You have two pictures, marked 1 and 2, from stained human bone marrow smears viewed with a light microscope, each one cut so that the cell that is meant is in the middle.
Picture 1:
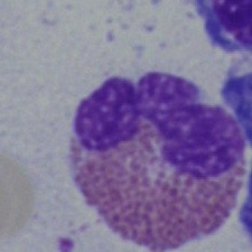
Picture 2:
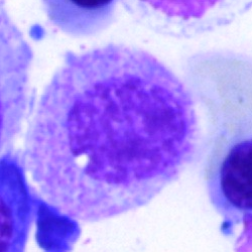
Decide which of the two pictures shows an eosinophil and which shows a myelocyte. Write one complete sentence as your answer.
Picture 1 shows an eosinophil and picture 2 shows a myelocyte.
